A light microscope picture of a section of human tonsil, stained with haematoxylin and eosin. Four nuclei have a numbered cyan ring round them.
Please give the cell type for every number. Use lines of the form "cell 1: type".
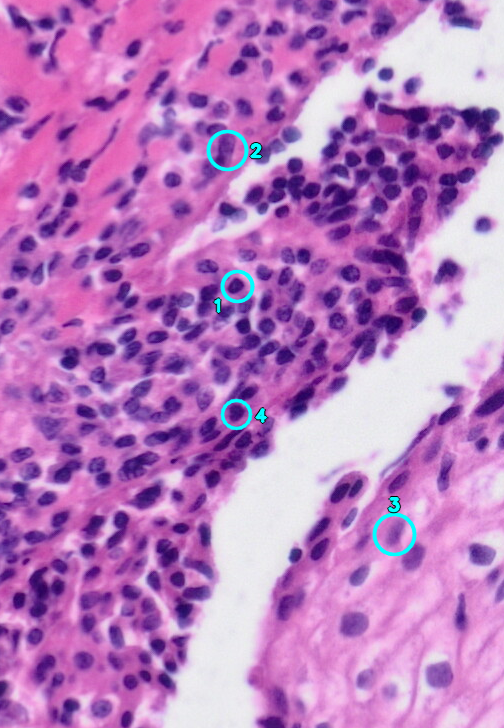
cell 1: plasma cell
cell 2: endothelial cell
cell 3: squamous epithelial cell
cell 4: plasma cell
